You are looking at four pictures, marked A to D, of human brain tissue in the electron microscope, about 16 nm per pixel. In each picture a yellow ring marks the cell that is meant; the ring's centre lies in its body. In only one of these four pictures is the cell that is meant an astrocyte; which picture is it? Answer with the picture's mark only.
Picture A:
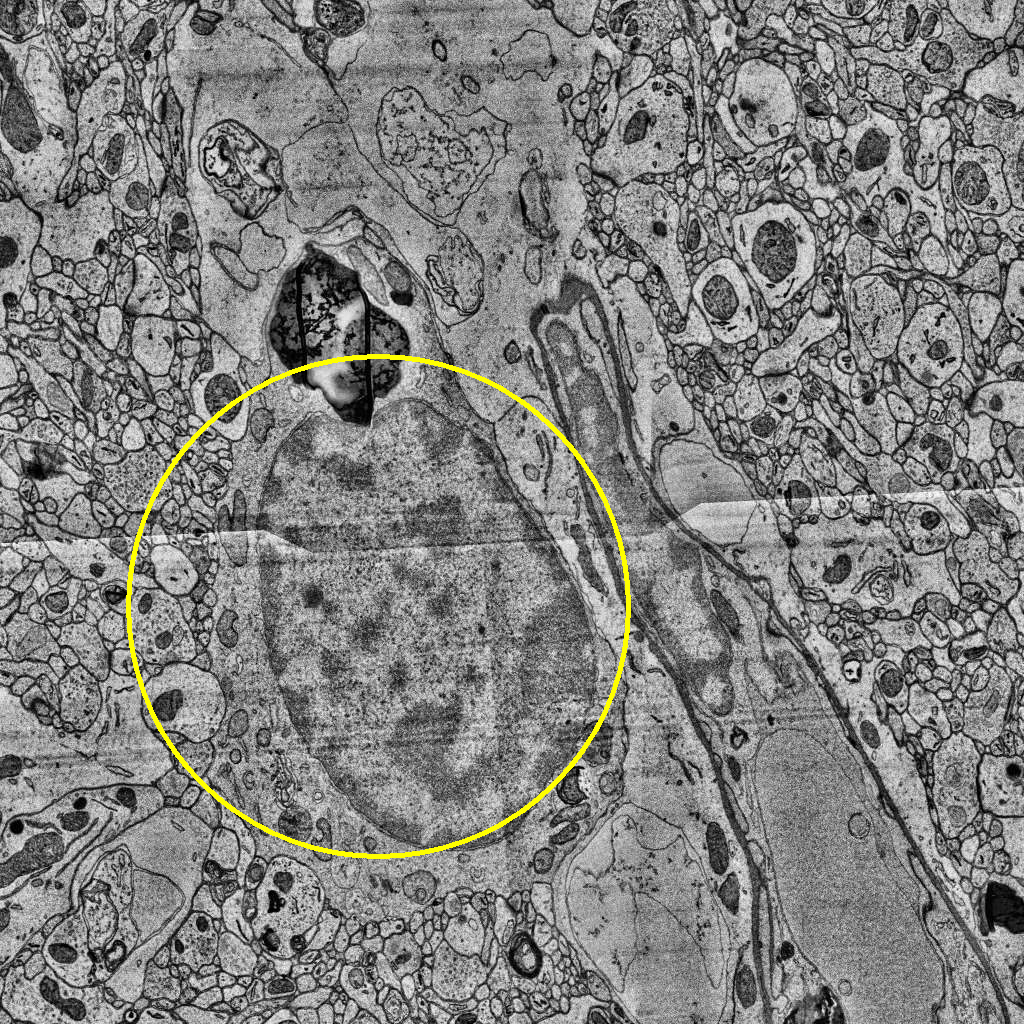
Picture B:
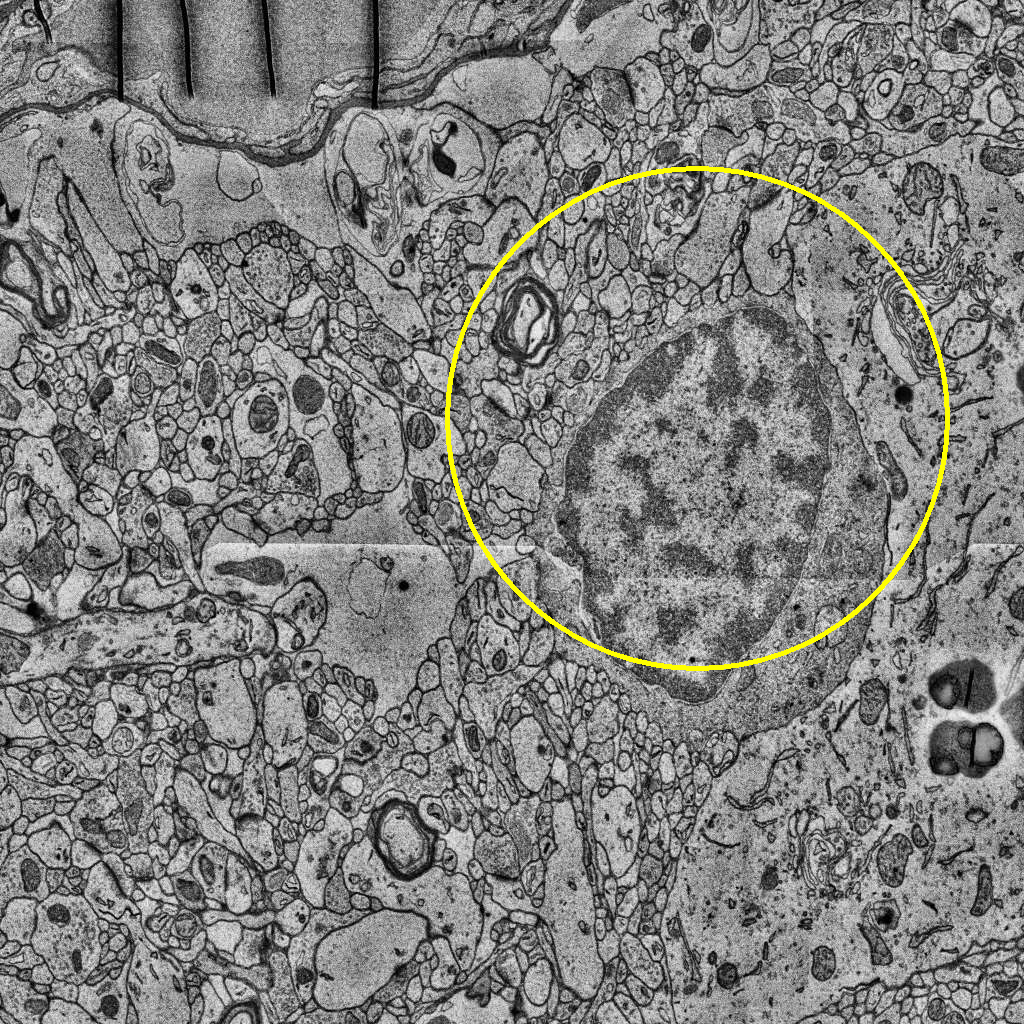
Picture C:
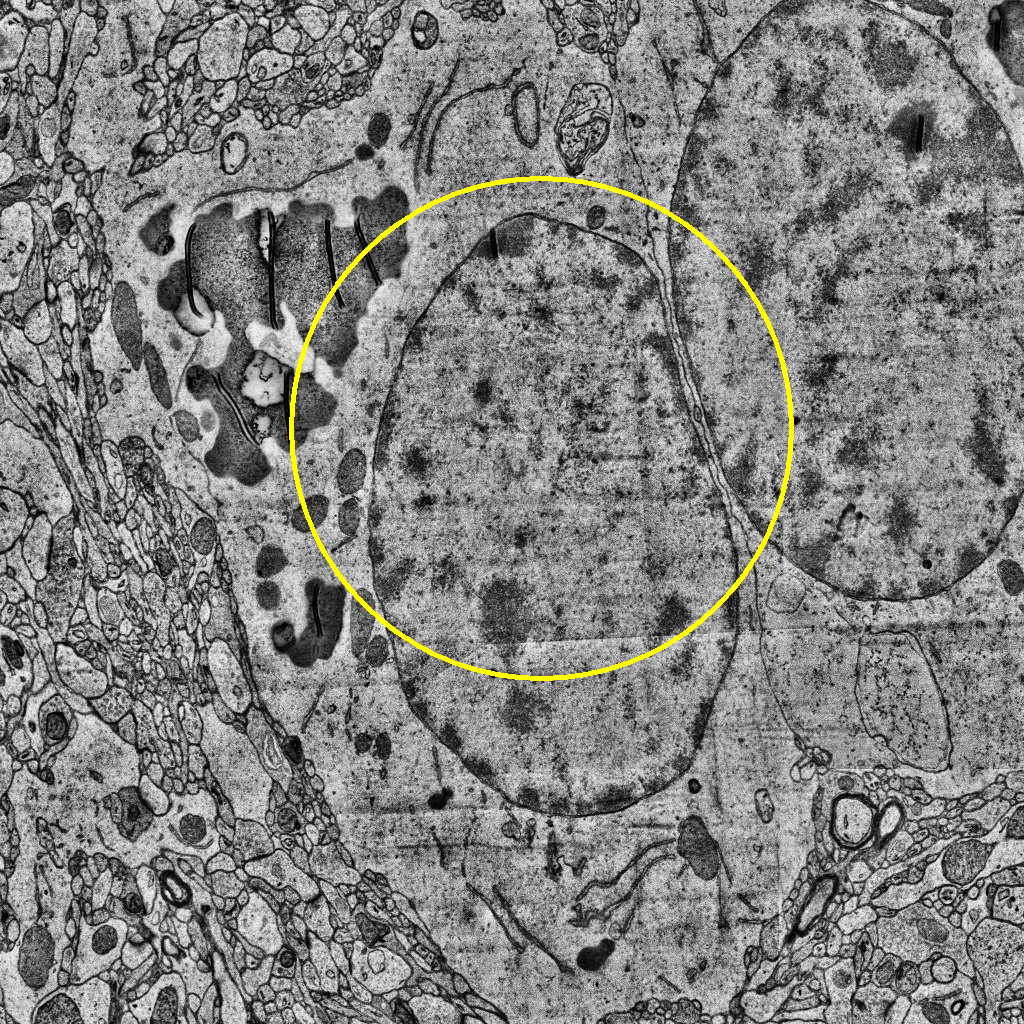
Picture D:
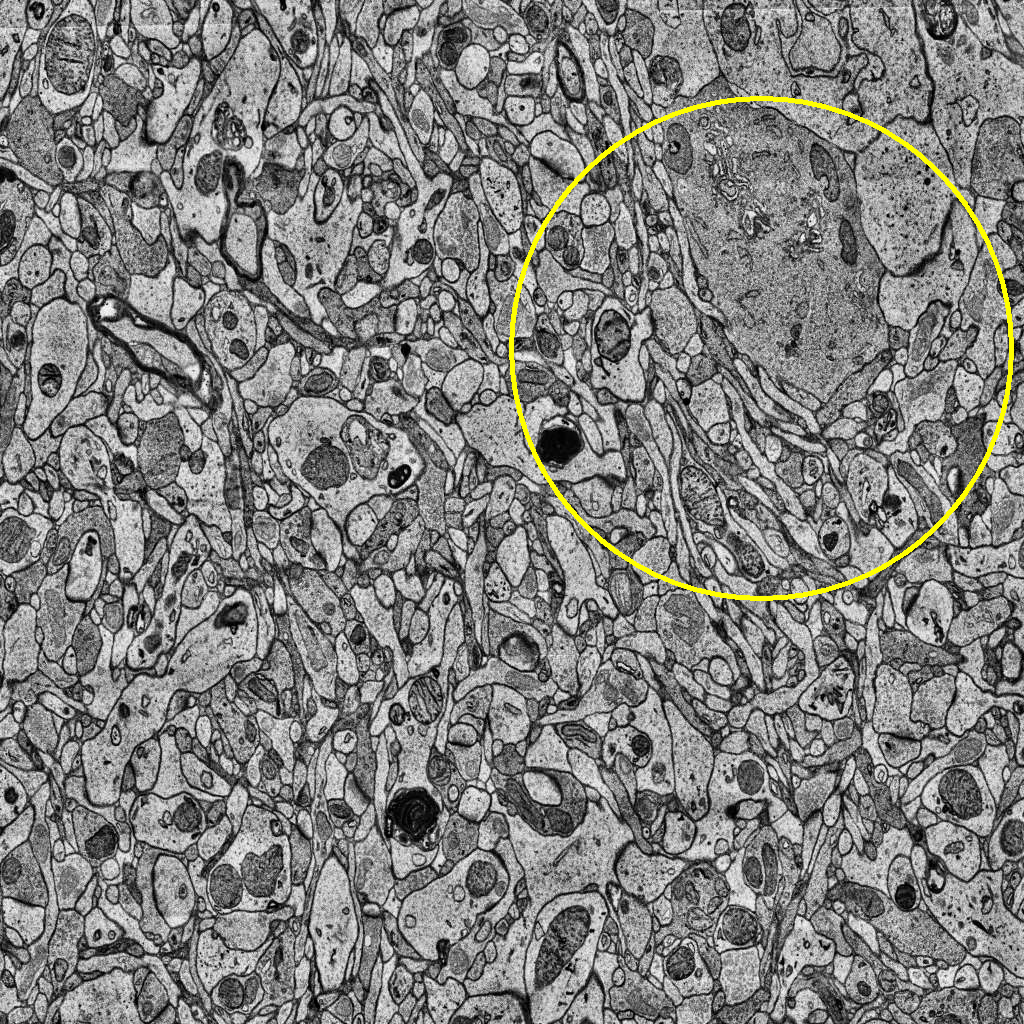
C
